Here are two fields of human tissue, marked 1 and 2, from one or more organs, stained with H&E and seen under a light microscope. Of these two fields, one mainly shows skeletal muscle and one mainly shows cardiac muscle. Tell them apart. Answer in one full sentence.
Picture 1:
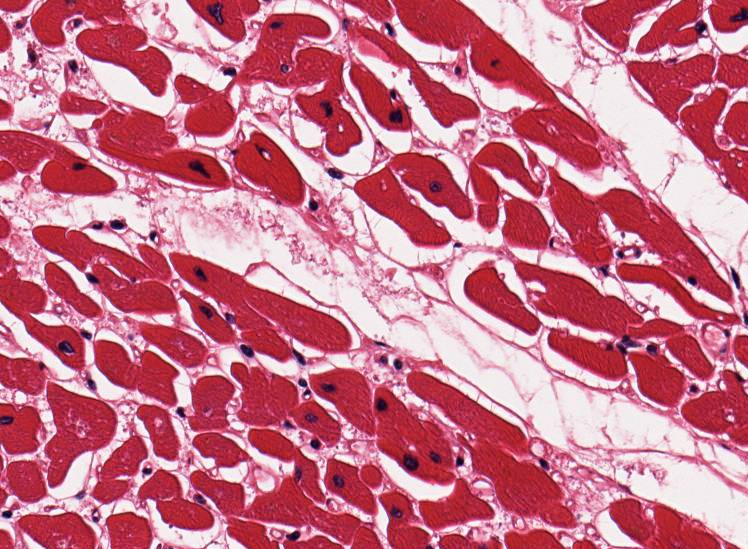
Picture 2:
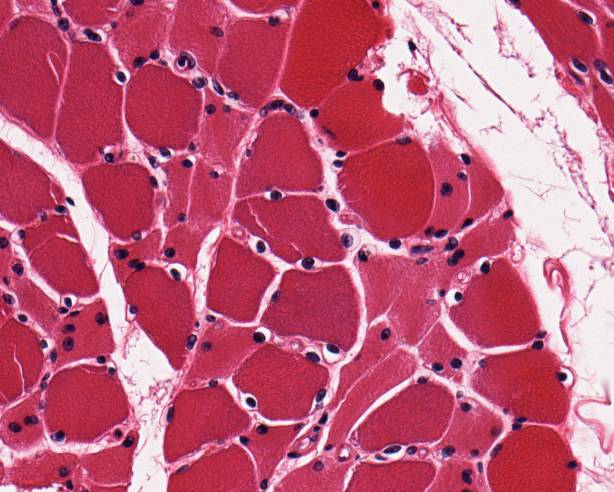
It is picture 1 that mainly shows cardiac muscle, and picture 2 that mainly shows skeletal muscle.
